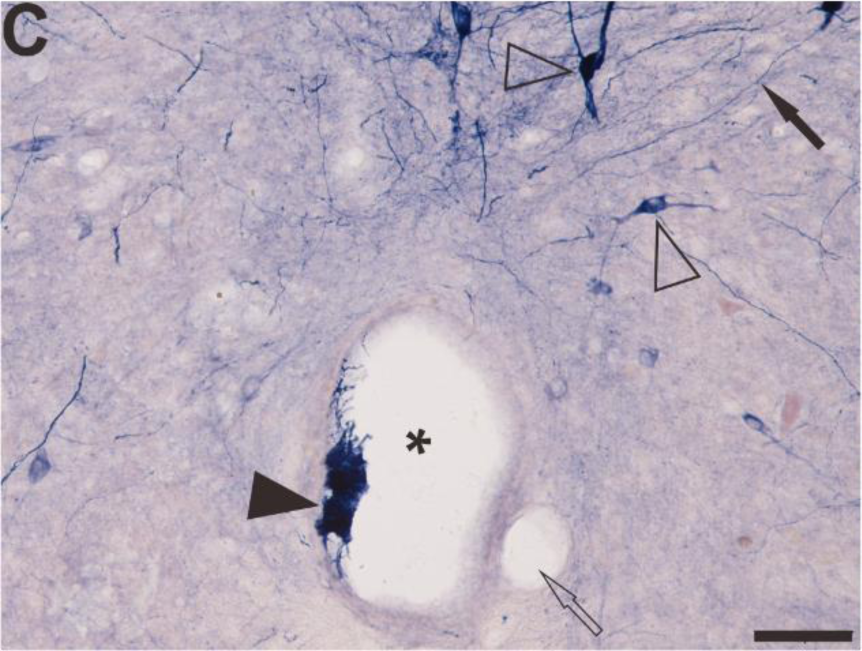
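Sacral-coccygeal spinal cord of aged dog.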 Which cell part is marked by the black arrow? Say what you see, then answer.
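Thin, dark, beaded fibres run through the grey matter. On this evidence: neurites.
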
